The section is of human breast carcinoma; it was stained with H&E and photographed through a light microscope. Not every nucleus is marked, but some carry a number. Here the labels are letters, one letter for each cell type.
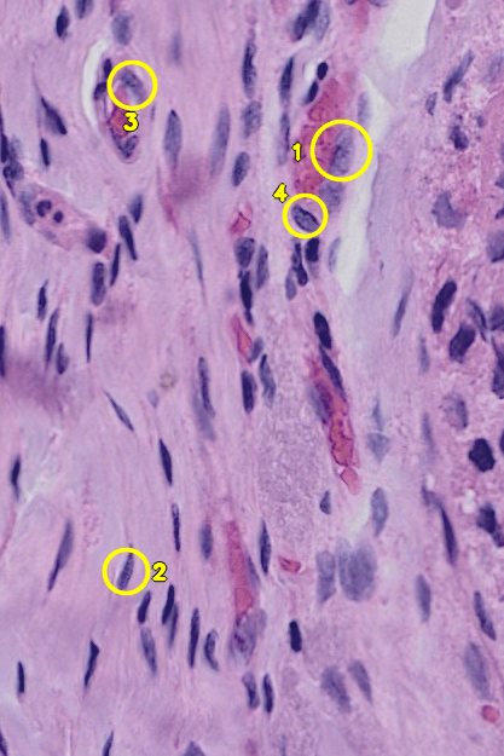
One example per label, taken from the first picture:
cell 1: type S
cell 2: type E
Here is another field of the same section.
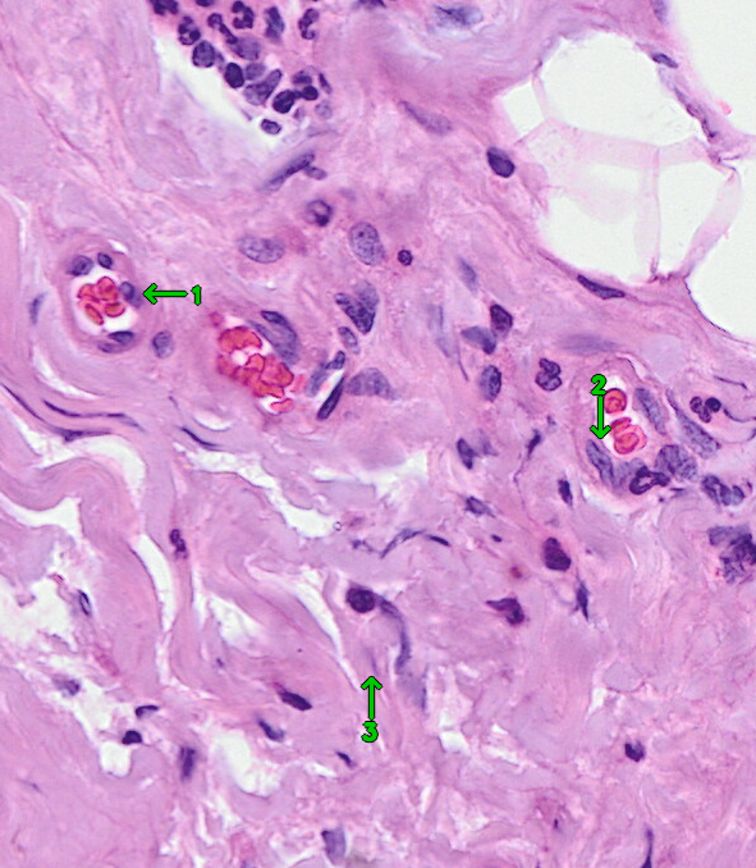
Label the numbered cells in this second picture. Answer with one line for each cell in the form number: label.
1: type S
2: type S
3: type E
